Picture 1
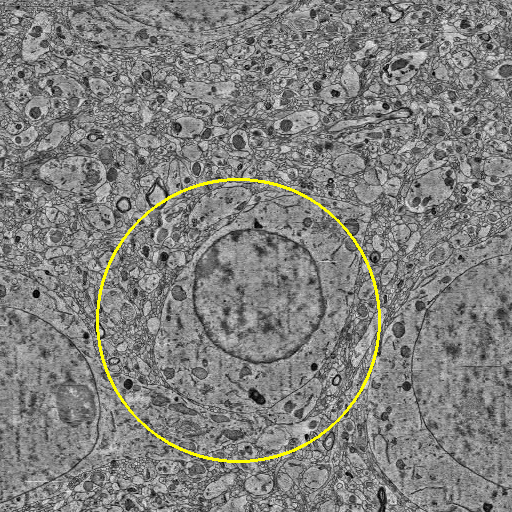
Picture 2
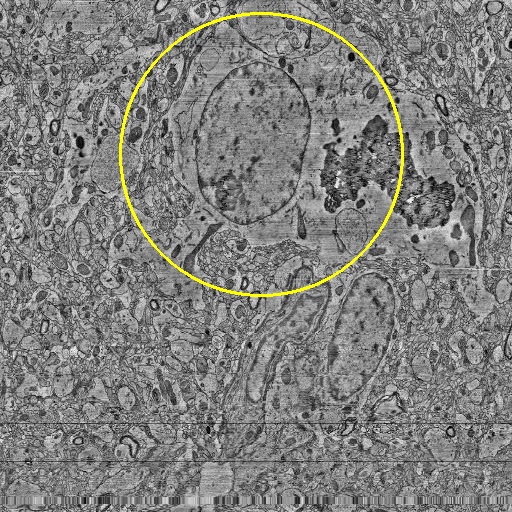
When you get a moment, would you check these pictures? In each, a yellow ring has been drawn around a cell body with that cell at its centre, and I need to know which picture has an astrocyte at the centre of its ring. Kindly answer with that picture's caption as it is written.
Picture 2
